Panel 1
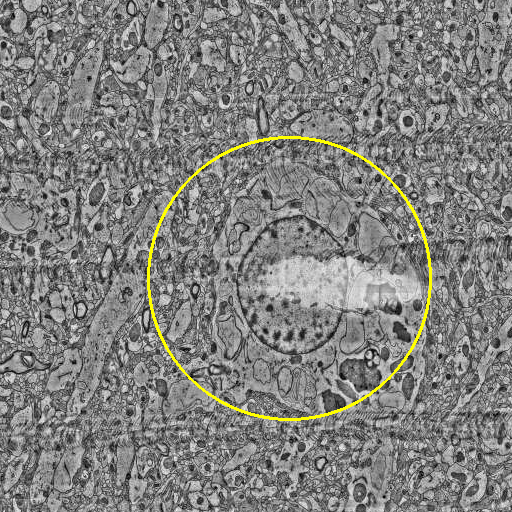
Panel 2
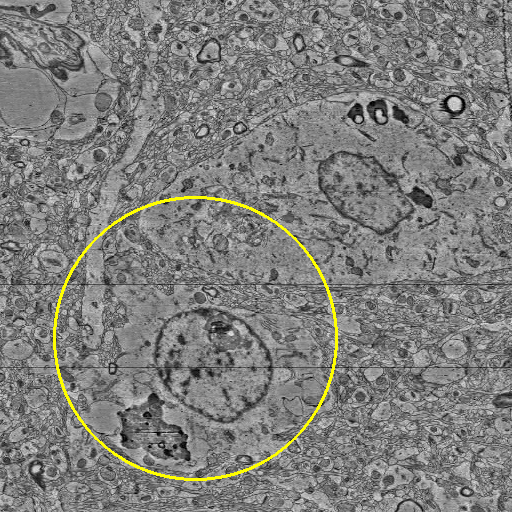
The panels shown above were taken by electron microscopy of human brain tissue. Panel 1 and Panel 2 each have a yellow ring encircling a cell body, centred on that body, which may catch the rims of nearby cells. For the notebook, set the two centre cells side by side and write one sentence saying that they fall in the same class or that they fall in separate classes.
The centred cells of Panel 1 and Panel 2 fall in the same class.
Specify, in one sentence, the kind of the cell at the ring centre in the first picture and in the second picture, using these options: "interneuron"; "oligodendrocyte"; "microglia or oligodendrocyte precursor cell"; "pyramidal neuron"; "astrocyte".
In each of the two pictures, the ringed cell is an astrocyte.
